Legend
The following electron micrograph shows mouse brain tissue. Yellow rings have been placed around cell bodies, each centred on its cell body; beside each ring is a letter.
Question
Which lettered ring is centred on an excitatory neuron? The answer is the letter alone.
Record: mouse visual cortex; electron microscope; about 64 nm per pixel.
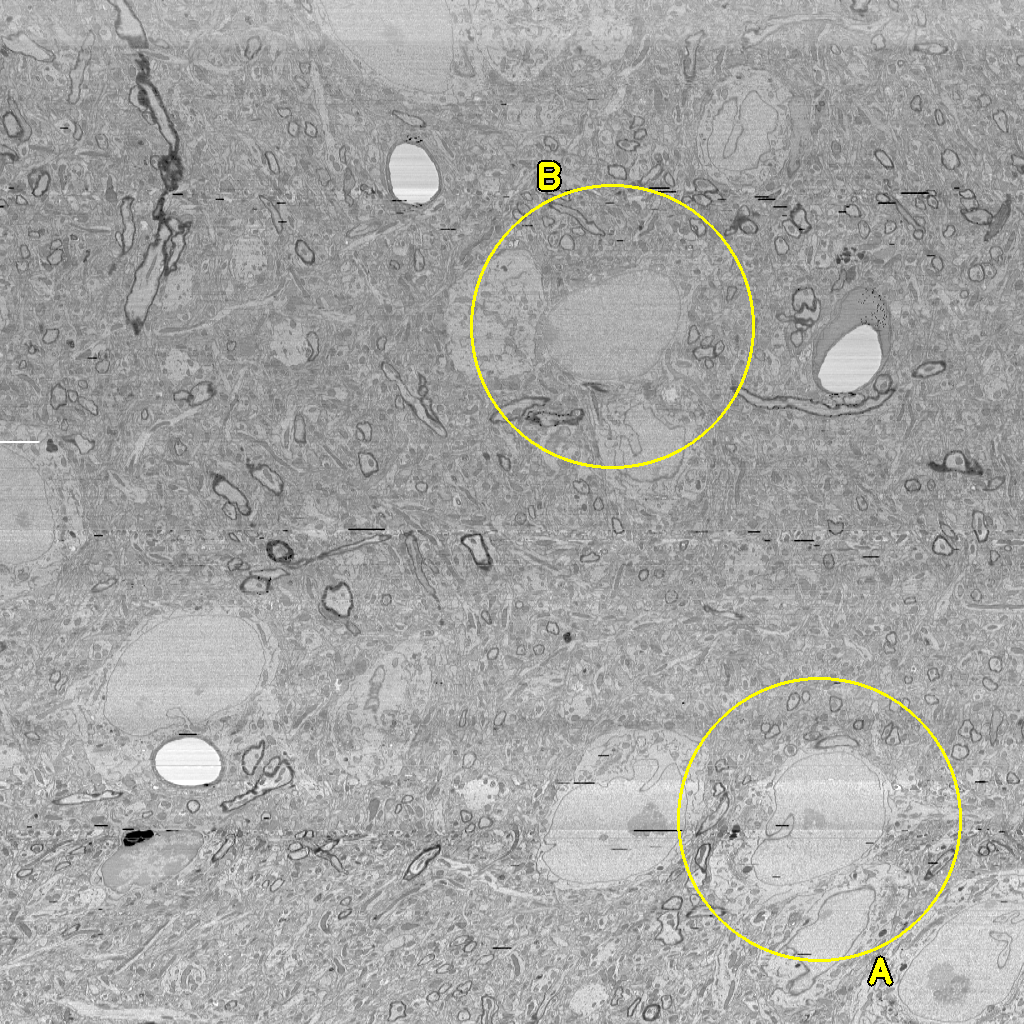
A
